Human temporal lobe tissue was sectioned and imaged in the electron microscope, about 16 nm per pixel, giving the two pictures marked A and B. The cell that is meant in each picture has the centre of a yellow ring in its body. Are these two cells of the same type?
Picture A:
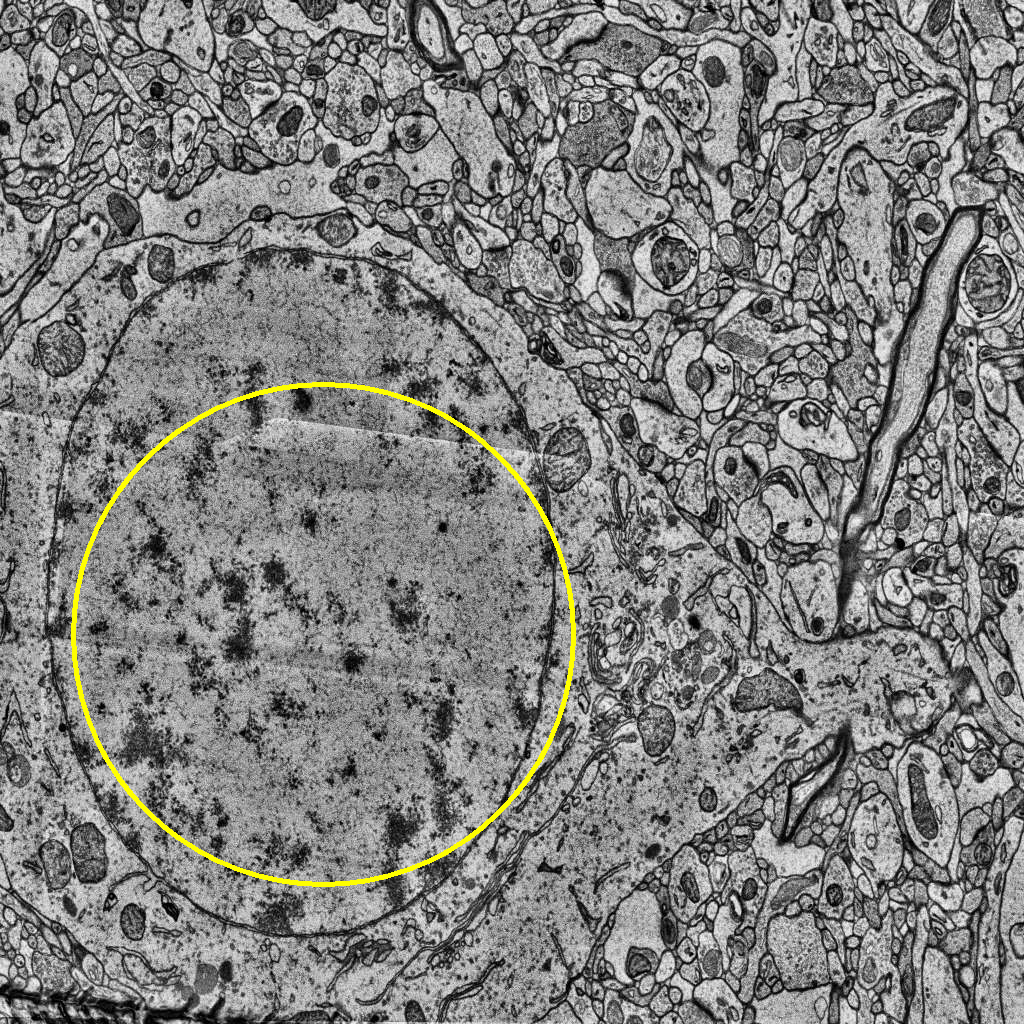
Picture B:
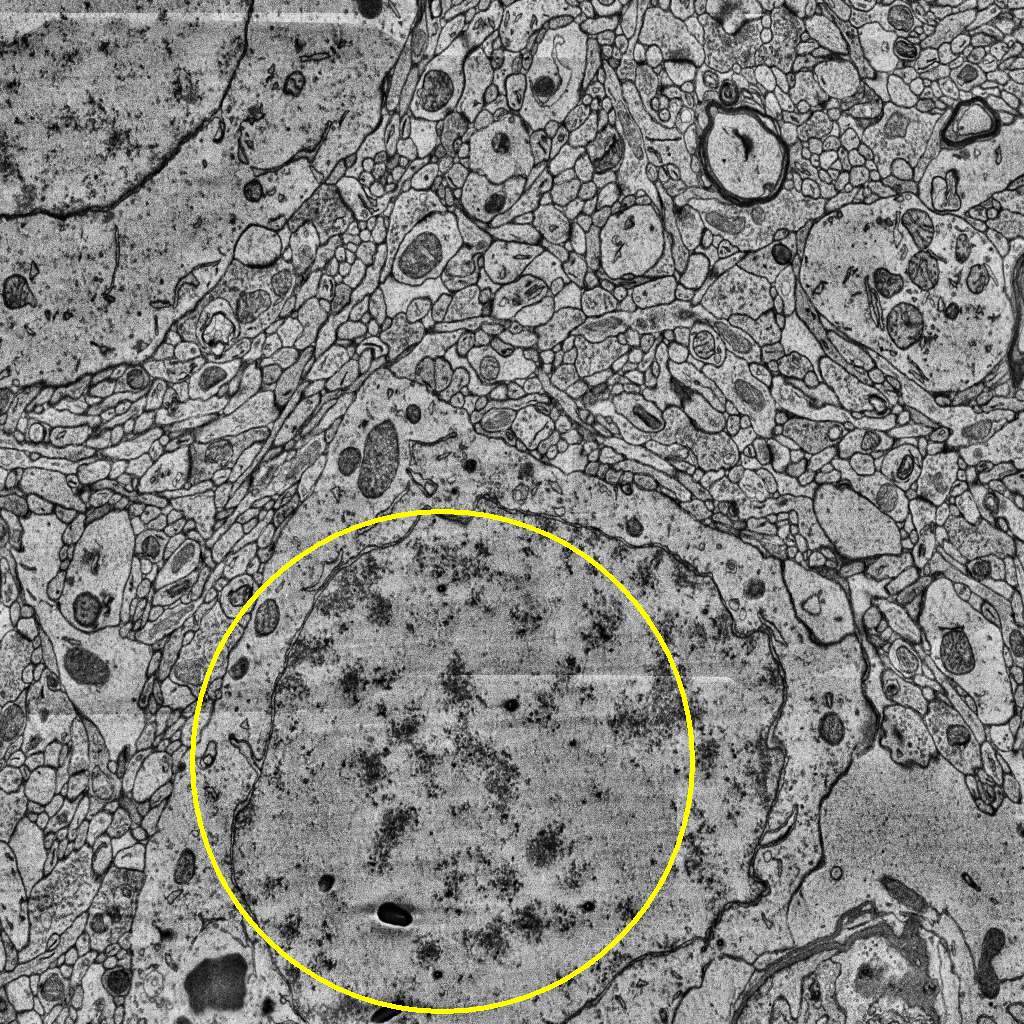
No, the types are not the same, since picture A shows a pyramidal neuron and picture B an interneuron.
